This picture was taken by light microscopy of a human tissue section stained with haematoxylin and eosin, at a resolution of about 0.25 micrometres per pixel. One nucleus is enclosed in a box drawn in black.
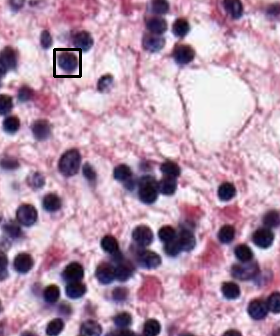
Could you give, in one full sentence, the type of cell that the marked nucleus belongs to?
In this section, the marked nucleus is that of a cerebellar granule cell.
